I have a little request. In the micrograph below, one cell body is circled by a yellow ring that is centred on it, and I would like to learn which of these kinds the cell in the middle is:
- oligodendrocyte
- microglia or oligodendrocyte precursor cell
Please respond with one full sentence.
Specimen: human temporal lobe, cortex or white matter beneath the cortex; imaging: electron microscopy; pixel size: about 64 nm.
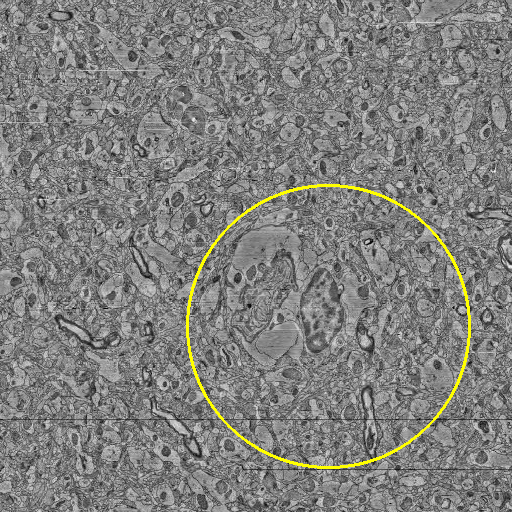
The cell sitting in the middle of the yellow ring in the micrograph is a microglial cell or oligodendrocyte precursor cell.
